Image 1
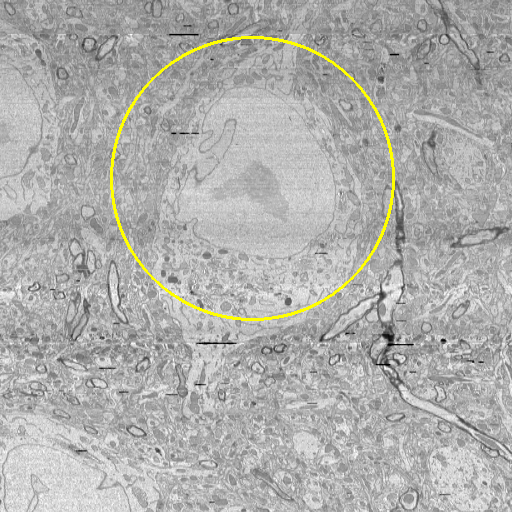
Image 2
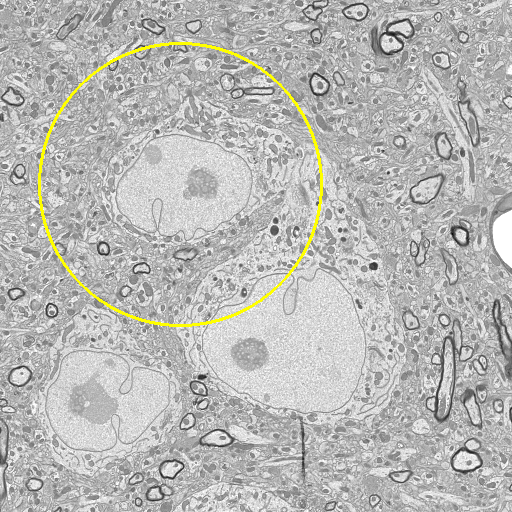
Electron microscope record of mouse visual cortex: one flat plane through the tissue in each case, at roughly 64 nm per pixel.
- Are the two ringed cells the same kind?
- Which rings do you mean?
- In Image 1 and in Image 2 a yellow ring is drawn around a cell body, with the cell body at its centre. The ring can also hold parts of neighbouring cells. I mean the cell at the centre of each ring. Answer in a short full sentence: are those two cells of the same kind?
No, the cells are of two kinds.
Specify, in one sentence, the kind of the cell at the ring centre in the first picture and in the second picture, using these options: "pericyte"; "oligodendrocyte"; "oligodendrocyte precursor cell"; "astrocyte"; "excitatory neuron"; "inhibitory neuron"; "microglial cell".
So the first is an excitatory neuron, the second an inhibitory neuron.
